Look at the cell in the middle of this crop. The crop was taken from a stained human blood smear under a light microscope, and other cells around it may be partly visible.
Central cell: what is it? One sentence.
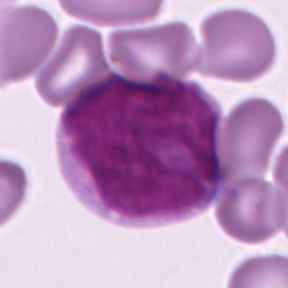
In this crop, the cell at the very middle is a myeloblast.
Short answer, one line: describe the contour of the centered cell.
Its outline is smooth, with no projections anywhere along the edge.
